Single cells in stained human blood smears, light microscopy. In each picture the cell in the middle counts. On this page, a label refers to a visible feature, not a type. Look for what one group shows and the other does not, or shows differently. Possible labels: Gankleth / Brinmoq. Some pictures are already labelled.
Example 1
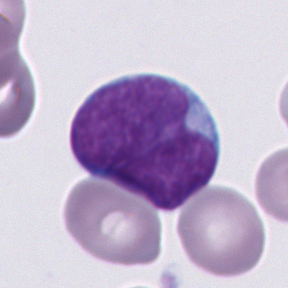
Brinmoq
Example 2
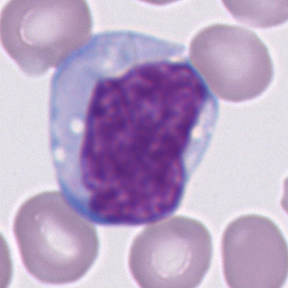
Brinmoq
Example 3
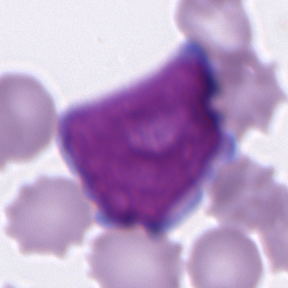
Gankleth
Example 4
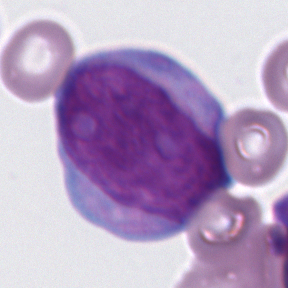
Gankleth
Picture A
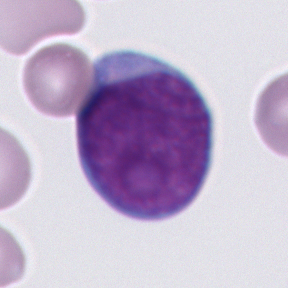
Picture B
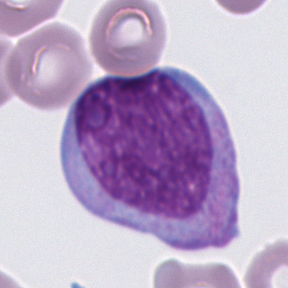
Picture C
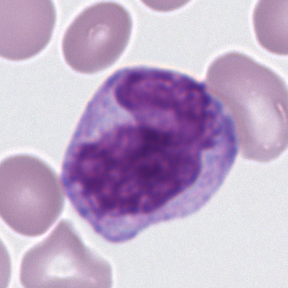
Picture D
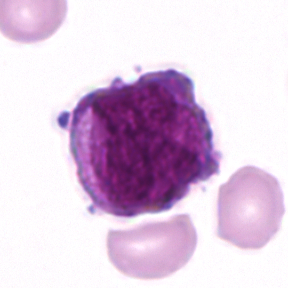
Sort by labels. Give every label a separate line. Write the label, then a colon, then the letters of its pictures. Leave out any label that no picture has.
Gankleth: A, B
Brinmoq: C, D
